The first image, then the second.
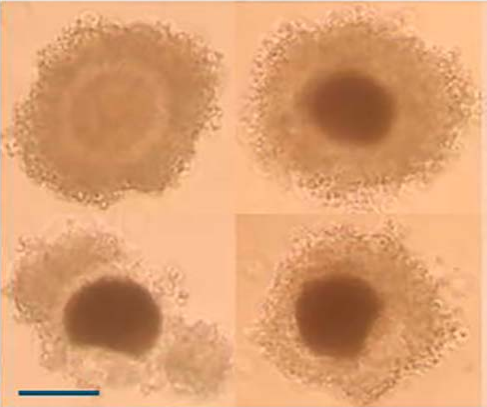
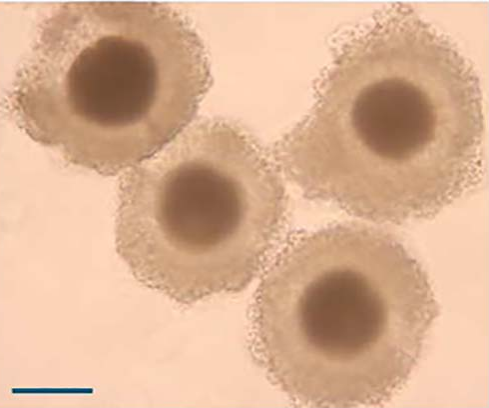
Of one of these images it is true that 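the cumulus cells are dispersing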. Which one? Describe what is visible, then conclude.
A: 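Second image: each dark centre is wrapped in a compact, rounded halo of small cells. First image: in at least one complex, clumps of small cells have separated from the mass and the outer layers look loose. On this evidence: the first image.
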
